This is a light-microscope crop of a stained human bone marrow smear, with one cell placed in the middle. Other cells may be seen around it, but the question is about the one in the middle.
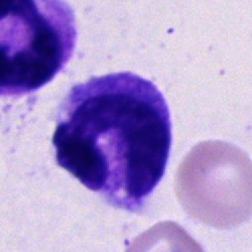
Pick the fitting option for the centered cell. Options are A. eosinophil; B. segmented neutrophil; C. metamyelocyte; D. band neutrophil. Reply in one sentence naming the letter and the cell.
Option D is the correct one; it names the central cell as a band neutrophil.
